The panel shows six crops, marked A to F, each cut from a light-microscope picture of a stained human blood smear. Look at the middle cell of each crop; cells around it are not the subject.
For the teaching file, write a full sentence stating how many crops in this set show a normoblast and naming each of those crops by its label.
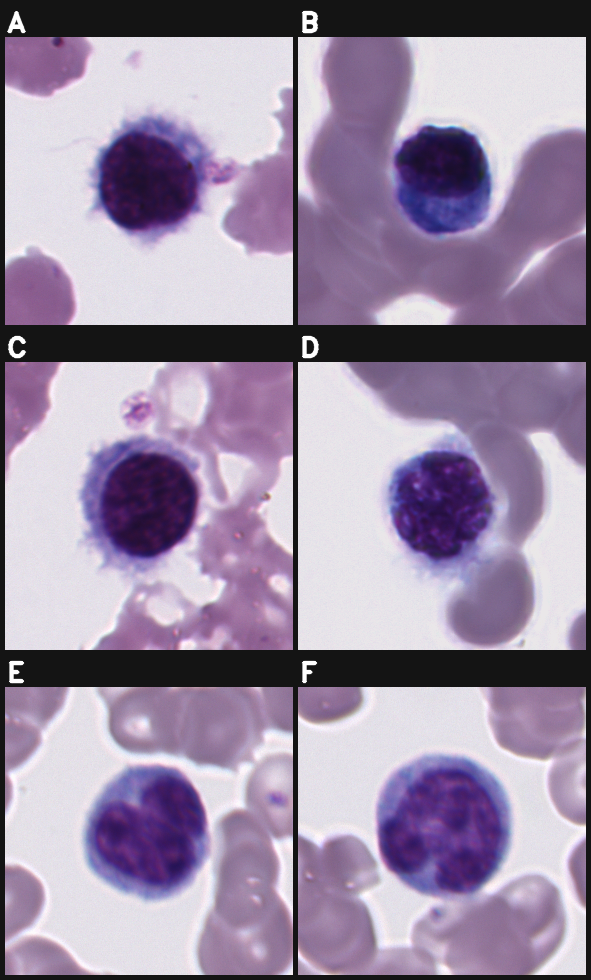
The count is zero, as not one of the crops contains normoblasts.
